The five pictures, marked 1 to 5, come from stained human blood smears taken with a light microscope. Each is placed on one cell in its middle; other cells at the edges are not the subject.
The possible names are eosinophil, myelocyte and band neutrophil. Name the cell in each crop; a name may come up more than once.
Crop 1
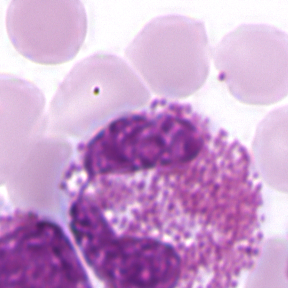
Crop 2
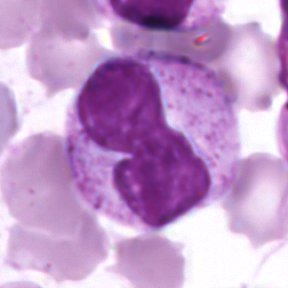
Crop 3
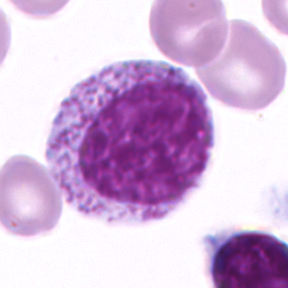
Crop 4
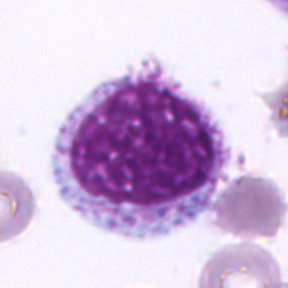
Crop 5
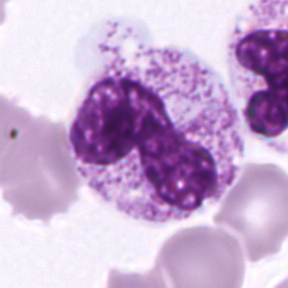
1: eosinophil
2: band neutrophil
3: myelocyte
4: myelocyte
5: band neutrophil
